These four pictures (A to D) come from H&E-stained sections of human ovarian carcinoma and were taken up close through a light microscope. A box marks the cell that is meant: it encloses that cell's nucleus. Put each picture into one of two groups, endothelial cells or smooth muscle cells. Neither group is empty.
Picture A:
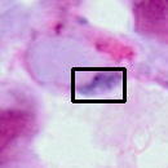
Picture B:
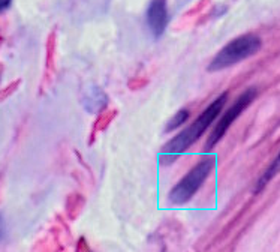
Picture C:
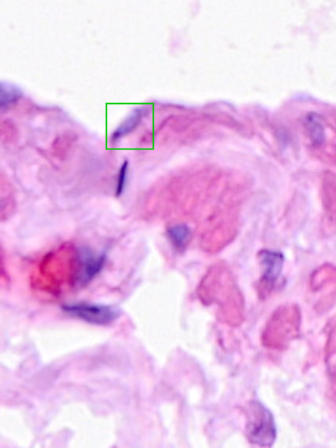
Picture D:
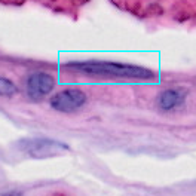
A: endothelial cell
B: smooth muscle cell
C: endothelial cell
D: endothelial cell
